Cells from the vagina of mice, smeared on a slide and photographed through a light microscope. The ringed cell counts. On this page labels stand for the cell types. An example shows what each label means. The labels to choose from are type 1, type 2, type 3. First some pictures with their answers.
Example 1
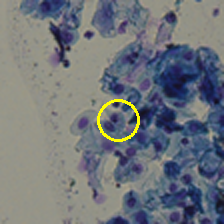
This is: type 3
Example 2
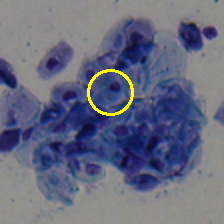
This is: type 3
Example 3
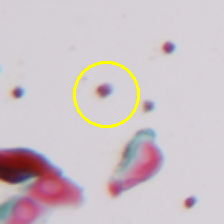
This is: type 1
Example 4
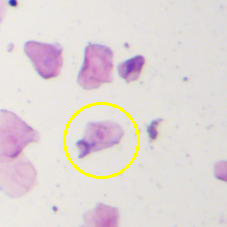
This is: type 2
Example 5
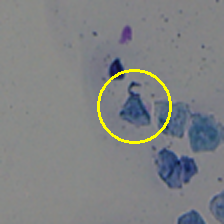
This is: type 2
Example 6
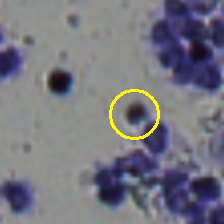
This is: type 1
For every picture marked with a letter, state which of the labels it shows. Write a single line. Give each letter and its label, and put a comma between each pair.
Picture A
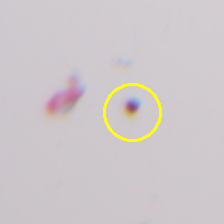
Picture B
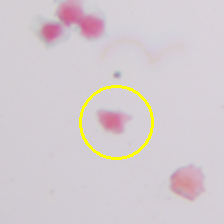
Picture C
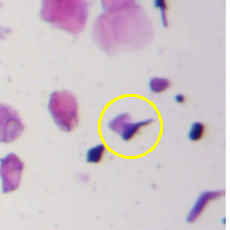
A type 1, B type 2, C type 2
